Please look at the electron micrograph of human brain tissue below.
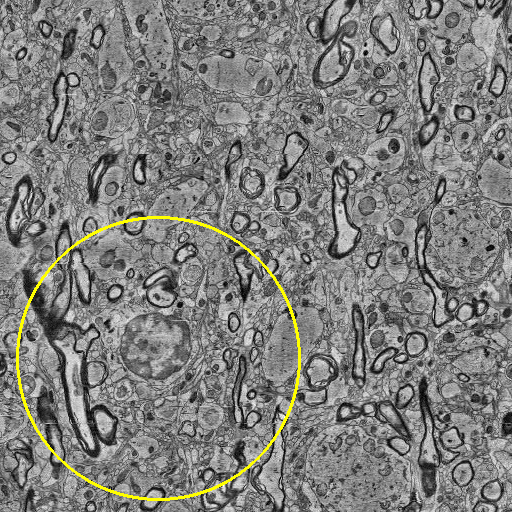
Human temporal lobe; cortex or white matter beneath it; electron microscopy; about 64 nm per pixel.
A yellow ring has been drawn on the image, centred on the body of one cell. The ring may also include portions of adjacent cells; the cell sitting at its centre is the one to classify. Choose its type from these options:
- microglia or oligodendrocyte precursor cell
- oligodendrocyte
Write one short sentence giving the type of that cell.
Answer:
The cell in the middle of the ring is a microglial cell or oligodendrocyte precursor cell.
